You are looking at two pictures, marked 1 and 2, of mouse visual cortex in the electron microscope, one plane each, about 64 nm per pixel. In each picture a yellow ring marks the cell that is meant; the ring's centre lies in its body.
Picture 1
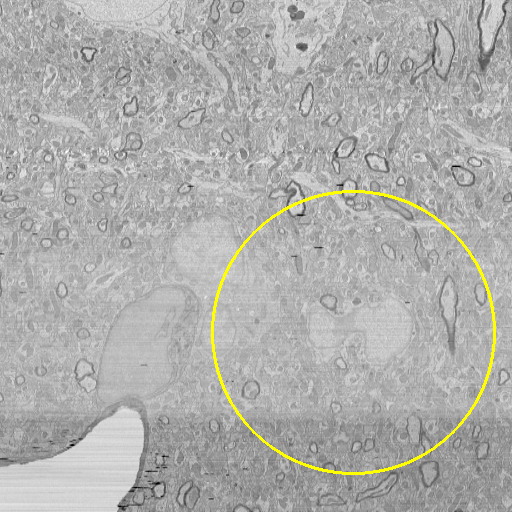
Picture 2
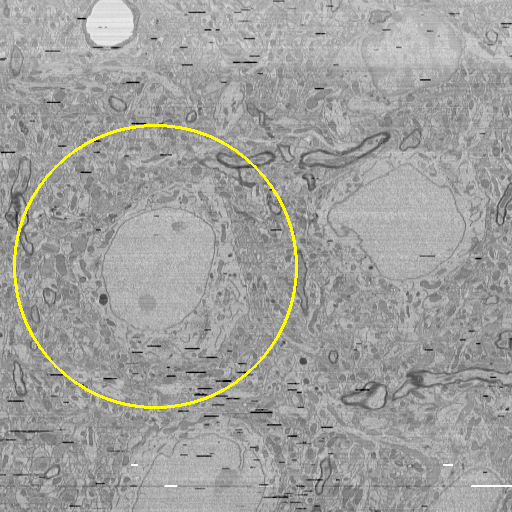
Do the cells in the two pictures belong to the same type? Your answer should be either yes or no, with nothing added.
no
